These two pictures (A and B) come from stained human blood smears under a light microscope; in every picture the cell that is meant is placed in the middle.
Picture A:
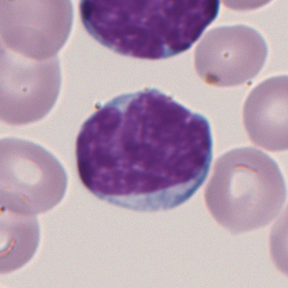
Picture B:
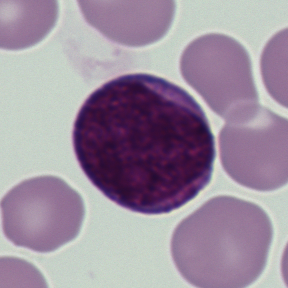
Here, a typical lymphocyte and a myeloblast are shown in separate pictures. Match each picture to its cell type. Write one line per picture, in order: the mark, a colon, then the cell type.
A: typical lymphocyte
B: myeloblast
